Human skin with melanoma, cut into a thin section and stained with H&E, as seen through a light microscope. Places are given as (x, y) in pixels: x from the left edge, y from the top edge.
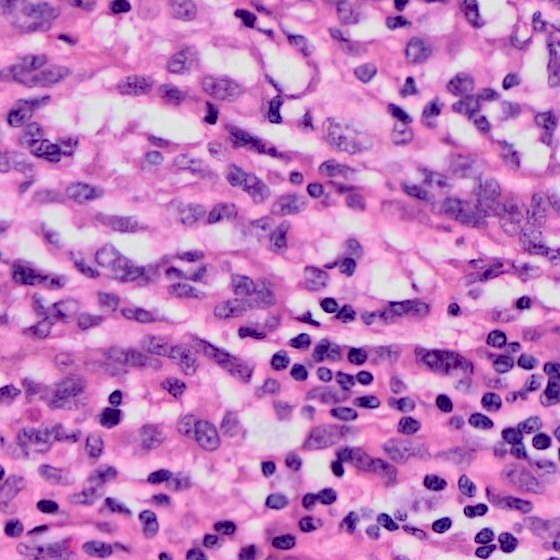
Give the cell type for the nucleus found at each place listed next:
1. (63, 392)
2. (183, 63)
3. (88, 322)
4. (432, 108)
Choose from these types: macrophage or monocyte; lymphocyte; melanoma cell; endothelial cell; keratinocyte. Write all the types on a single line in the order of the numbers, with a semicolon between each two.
melanoma cell; melanoma cell; melanoma cell; lymphocyte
